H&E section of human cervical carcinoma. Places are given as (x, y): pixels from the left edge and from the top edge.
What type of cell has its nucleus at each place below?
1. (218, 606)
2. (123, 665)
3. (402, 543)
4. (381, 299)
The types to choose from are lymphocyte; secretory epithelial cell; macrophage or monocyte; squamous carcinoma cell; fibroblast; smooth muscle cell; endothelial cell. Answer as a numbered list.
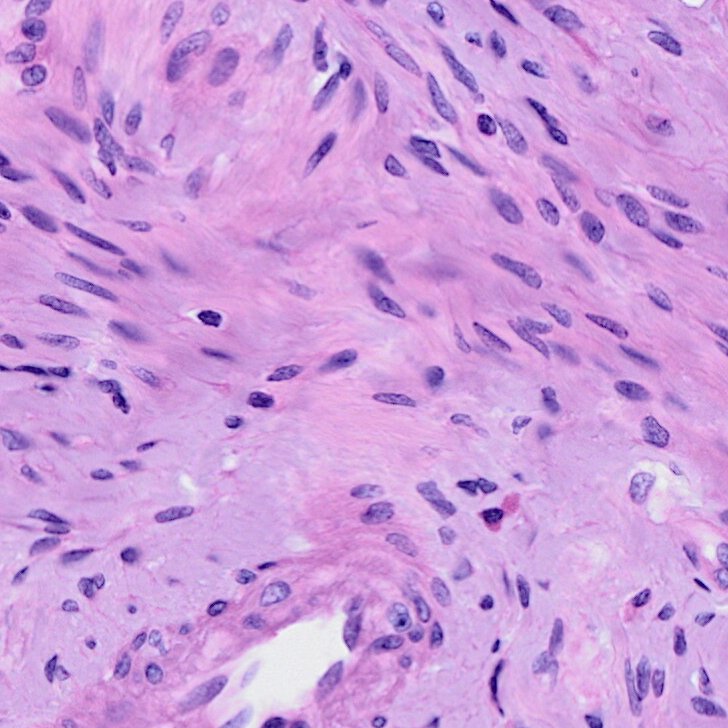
1. smooth muscle cell
2. smooth muscle cell
3. smooth muscle cell
4. fibroblast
